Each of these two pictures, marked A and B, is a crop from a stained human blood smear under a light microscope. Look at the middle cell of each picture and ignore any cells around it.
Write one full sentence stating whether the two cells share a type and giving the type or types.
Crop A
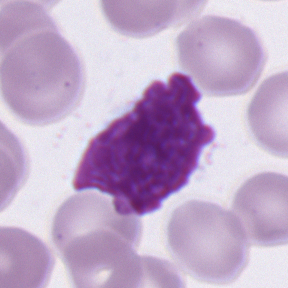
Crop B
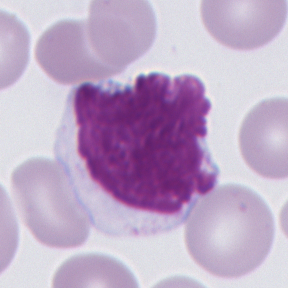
Yes, both crops in the pair show smudge cells.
